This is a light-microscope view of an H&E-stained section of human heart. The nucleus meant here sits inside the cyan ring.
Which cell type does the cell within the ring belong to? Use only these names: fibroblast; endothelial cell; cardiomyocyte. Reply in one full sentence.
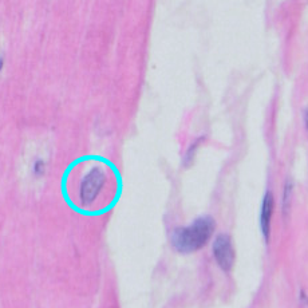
As to its cell type, the cell within the ring is a cardiomyocyte.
